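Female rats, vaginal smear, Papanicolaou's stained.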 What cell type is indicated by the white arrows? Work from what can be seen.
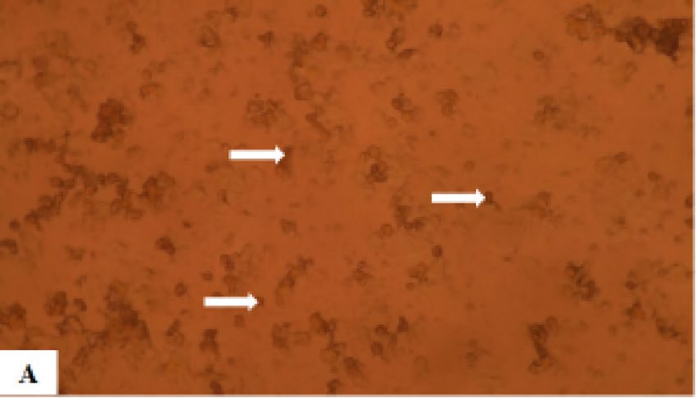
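Epithelial cells. Rounded cells of moderate size lie in small groups and clusters. The cells are larger than the scattered tiny dots in the background.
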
